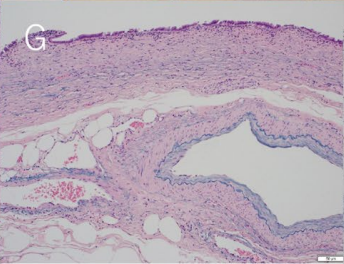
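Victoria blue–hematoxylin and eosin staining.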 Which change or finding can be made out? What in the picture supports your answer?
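Fibroblast proliferation. The wall is thickened by pink fibrous tissue with many elongated spindle-shaped nuclei. Fat cells lie beneath the fibrous layer.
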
